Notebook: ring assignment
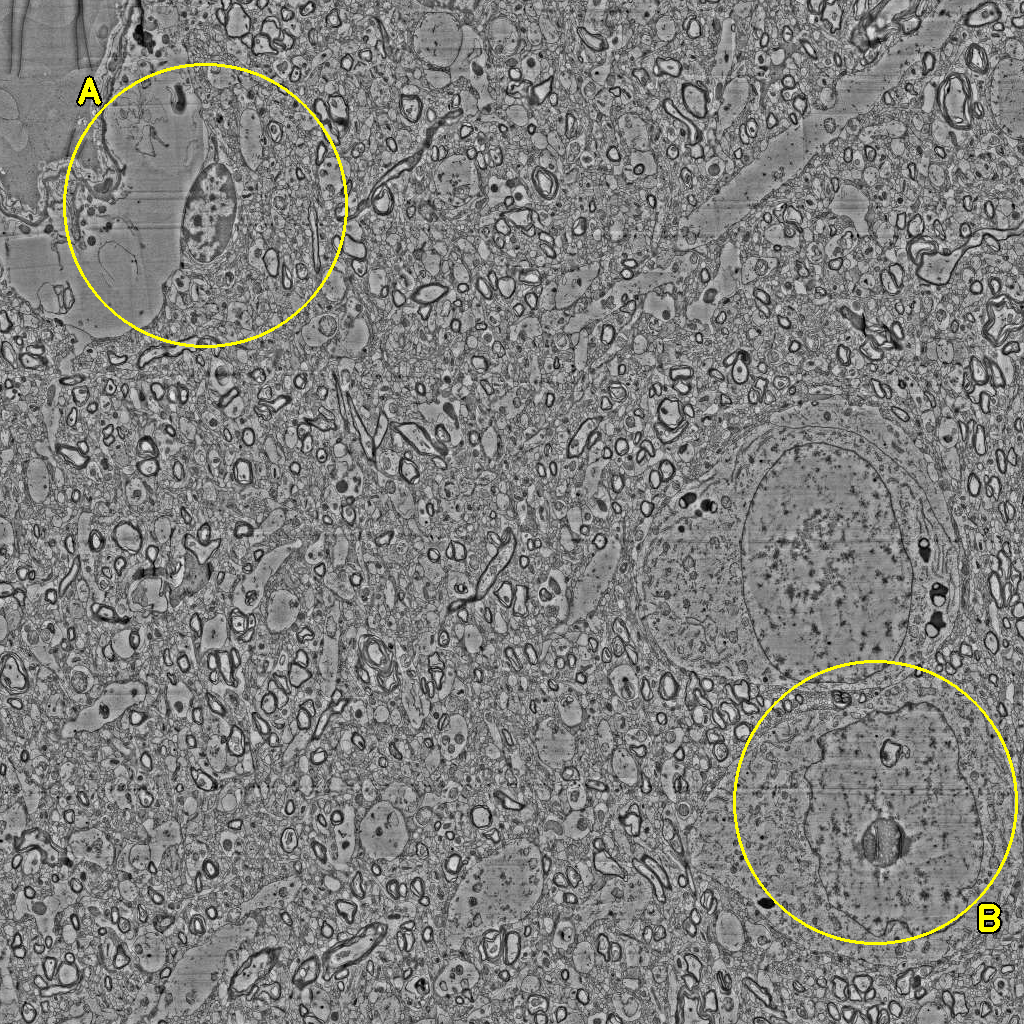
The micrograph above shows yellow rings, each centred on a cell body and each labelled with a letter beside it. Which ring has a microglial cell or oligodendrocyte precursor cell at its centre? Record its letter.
A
